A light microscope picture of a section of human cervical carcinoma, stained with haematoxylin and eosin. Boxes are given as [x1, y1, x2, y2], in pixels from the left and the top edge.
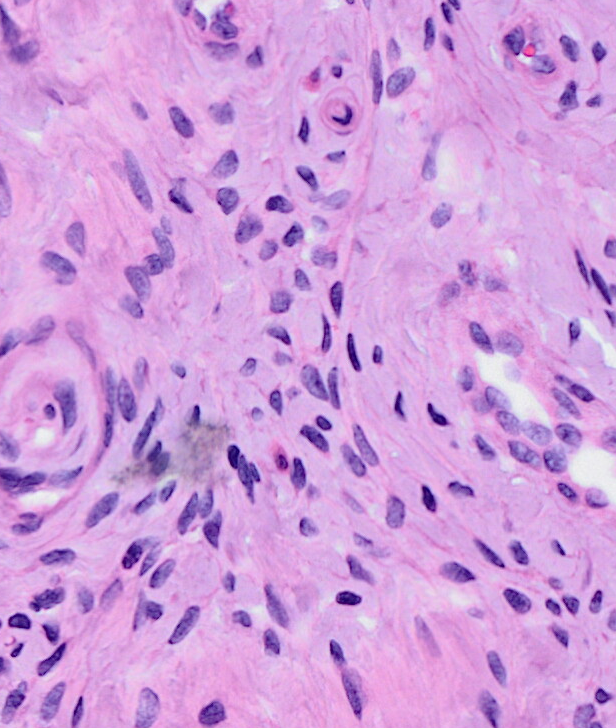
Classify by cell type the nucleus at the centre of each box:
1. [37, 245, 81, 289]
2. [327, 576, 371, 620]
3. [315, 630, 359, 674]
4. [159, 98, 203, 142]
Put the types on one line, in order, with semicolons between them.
fibroblast; lymphocyte; fibroblast; fibroblast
